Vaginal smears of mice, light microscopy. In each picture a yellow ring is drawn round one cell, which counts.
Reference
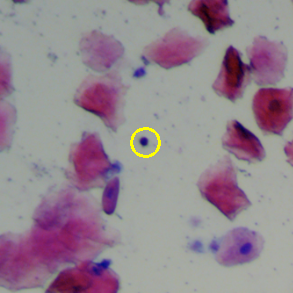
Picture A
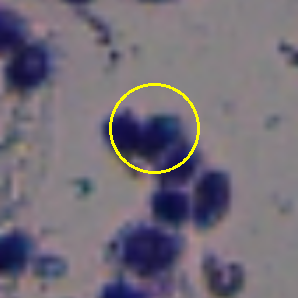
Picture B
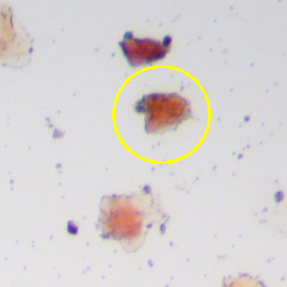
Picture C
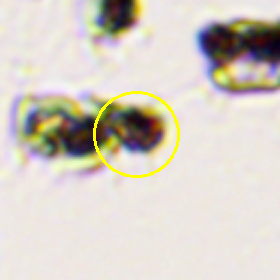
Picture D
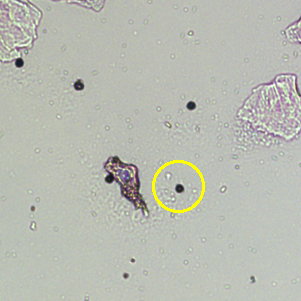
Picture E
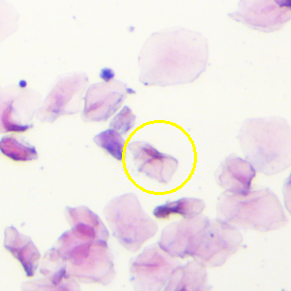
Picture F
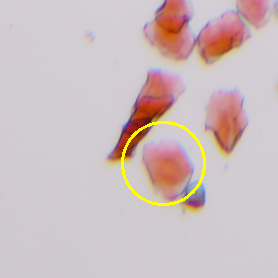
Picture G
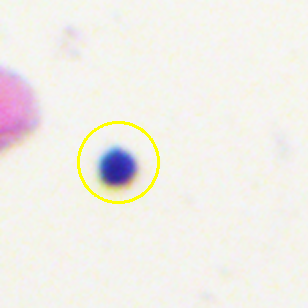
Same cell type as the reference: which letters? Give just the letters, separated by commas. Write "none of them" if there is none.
A, C, D, G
